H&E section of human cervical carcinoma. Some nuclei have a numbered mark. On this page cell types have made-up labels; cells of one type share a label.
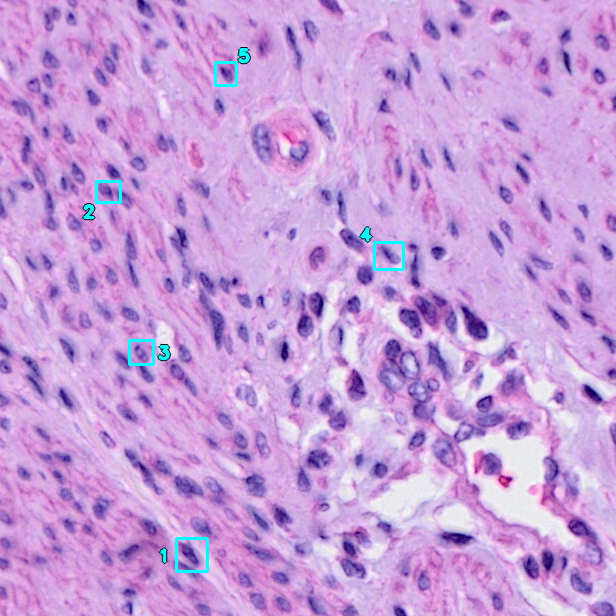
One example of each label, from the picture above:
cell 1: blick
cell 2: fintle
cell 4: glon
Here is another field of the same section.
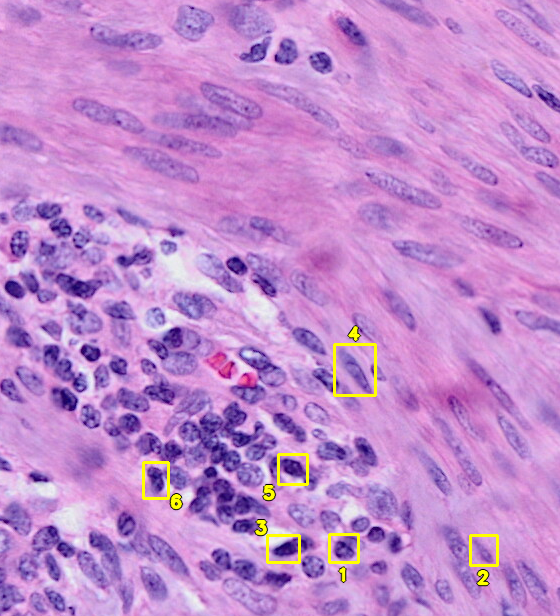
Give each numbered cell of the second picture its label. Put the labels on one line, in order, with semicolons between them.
blick; fintle; blick; glon; blick; blick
